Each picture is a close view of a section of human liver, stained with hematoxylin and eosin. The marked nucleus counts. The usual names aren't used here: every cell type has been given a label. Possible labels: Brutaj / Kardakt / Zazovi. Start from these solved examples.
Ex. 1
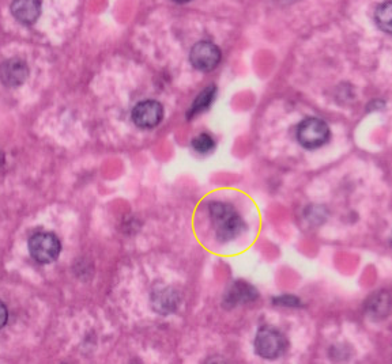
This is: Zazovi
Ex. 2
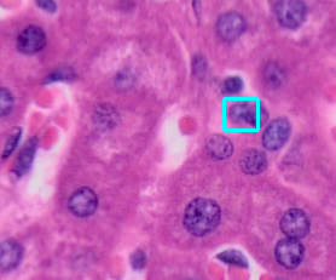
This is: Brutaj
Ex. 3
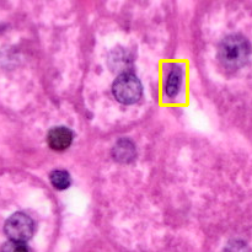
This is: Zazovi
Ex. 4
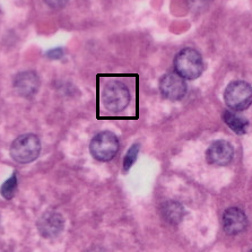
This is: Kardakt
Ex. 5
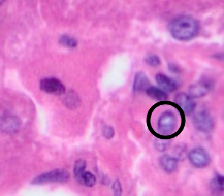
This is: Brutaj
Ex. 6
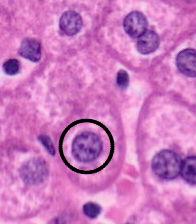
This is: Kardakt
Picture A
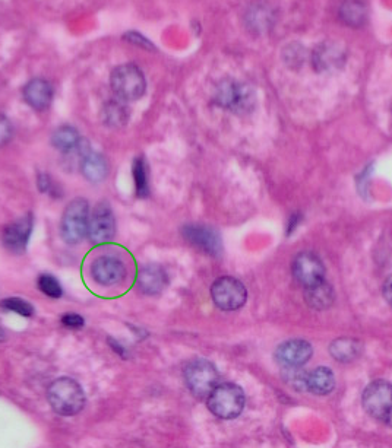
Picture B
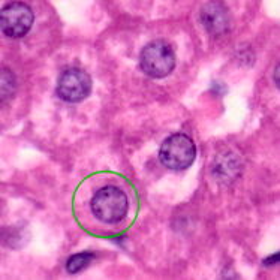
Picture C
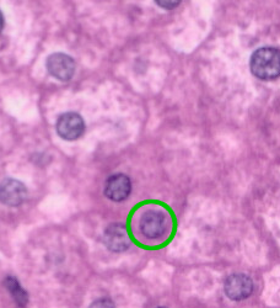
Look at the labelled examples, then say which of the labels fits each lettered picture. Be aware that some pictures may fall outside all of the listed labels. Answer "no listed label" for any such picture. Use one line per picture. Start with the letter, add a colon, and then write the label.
A: Brutaj
B: Kardakt
C: Kardakt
